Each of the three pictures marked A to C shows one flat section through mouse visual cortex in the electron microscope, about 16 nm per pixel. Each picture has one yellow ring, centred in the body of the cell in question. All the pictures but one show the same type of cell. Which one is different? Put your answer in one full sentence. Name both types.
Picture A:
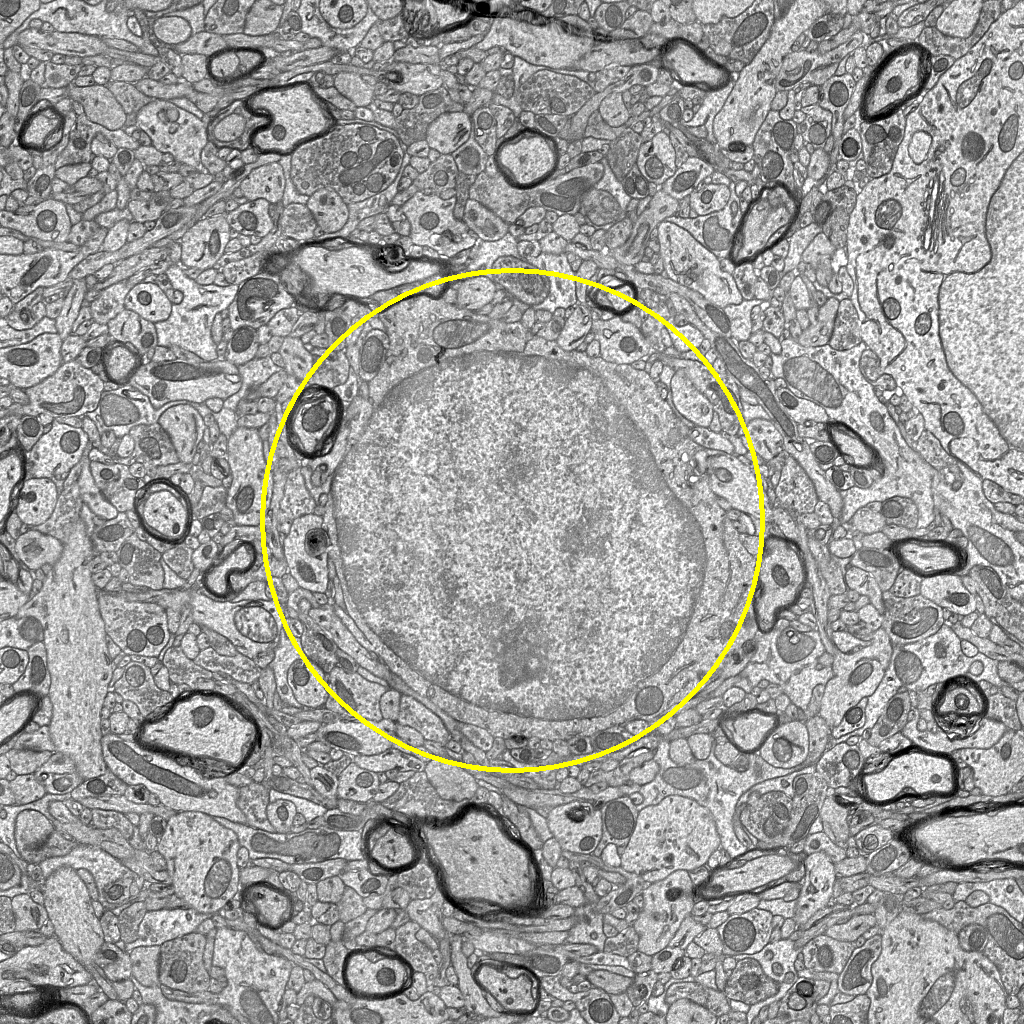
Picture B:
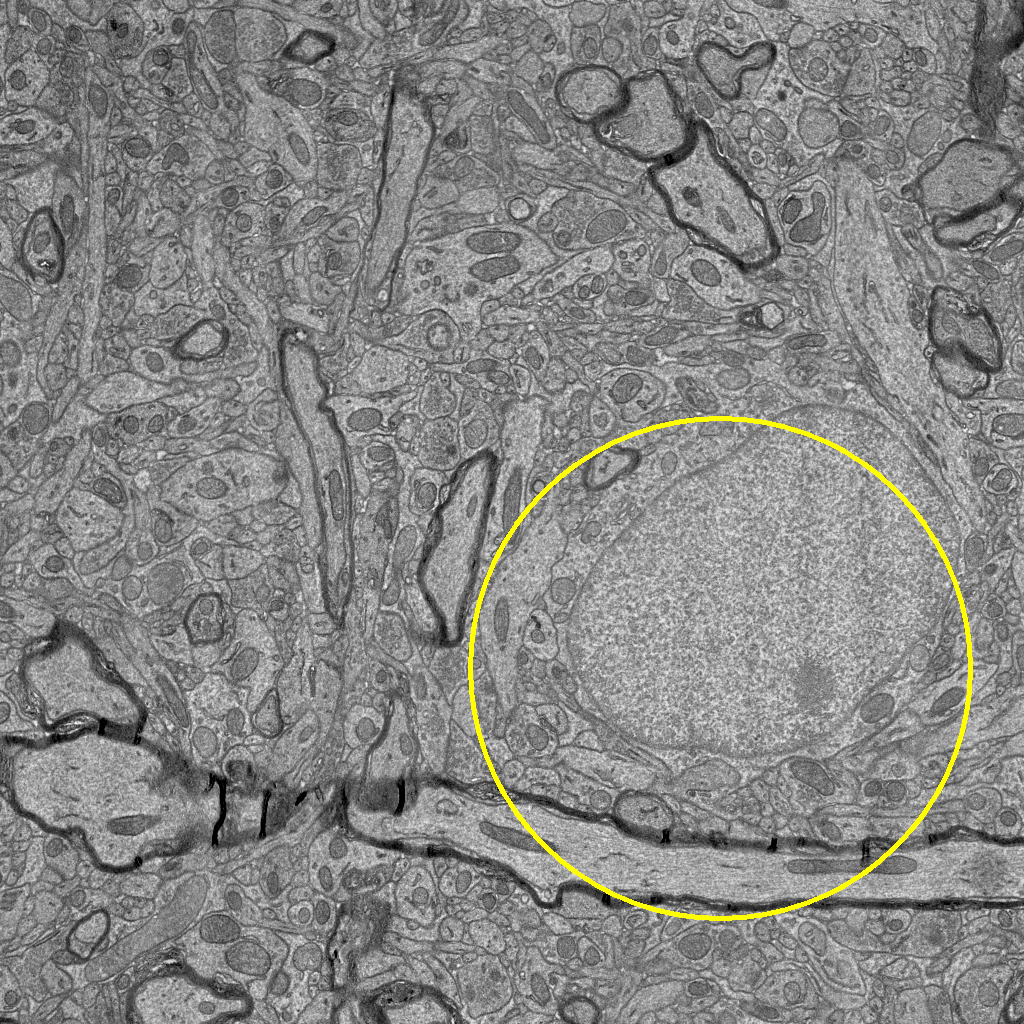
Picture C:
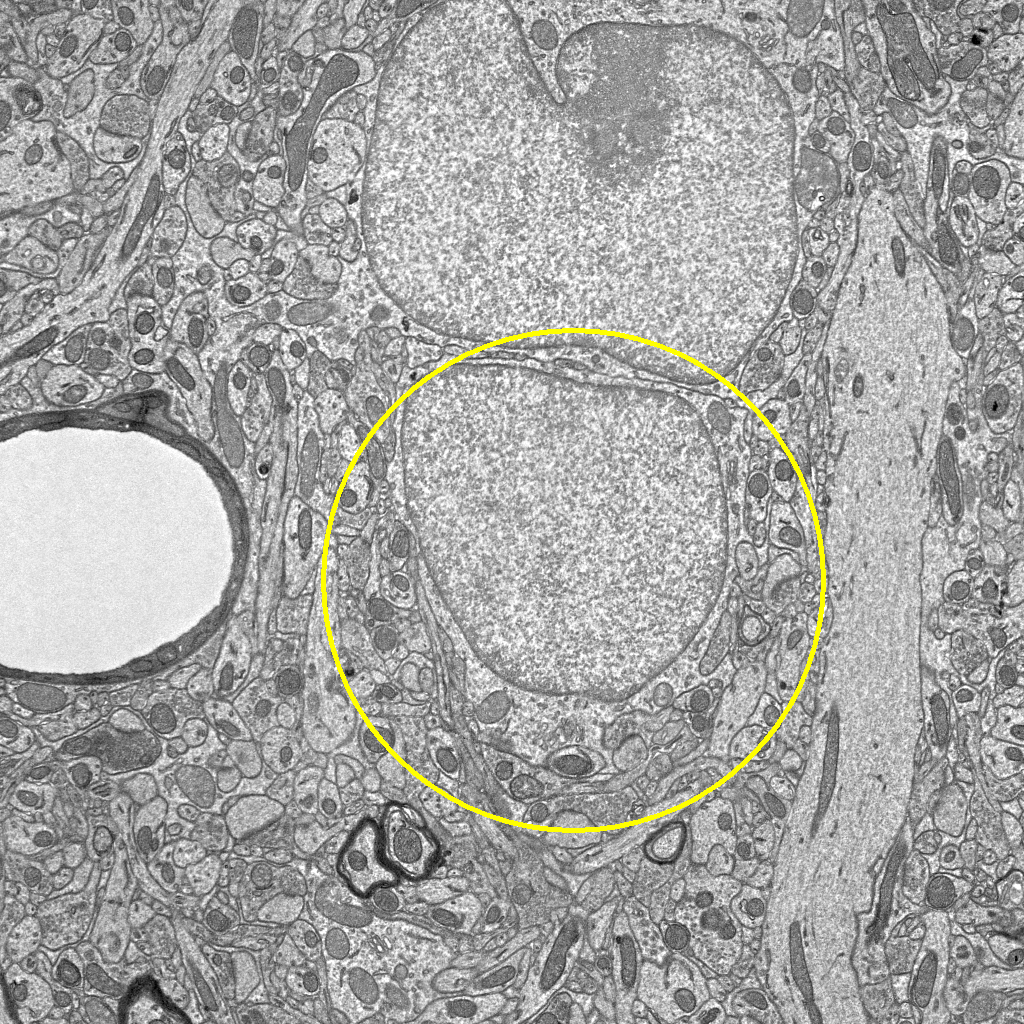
The others show astrocytes, but picture A shows an oligodendrocyte.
